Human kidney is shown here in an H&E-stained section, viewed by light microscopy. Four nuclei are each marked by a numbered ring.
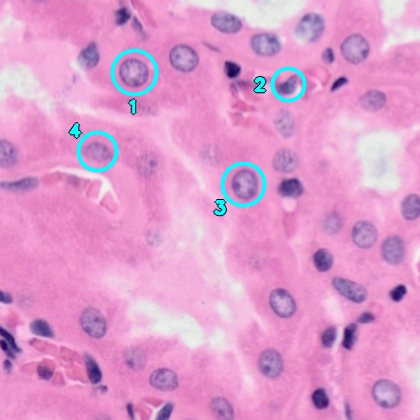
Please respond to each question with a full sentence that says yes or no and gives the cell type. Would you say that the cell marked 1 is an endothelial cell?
No, the cell carrying number 1 is a proximal tubule cell rather than an endothelial cell.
